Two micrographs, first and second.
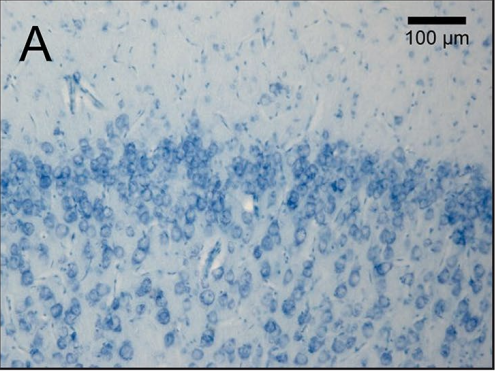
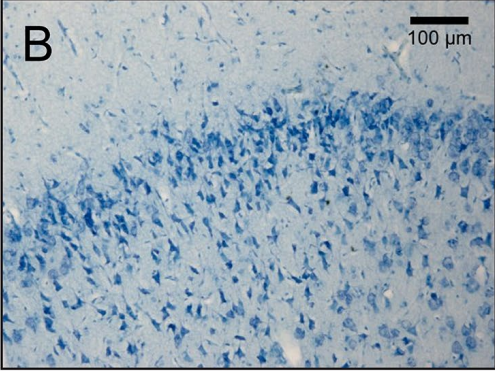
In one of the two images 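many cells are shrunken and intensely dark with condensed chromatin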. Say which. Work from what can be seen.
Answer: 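Second image: many small angular cells stained deep dark blue. First image: rounded cells with pale centres and evenly light blue staining. On this evidence: the second image.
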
